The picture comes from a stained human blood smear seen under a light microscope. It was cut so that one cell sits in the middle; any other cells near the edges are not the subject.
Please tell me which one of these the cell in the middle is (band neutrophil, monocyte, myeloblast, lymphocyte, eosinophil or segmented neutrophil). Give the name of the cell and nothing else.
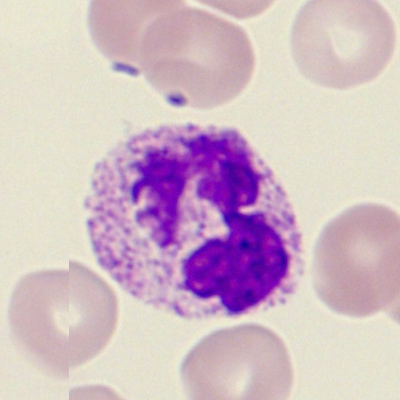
segmented neutrophil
